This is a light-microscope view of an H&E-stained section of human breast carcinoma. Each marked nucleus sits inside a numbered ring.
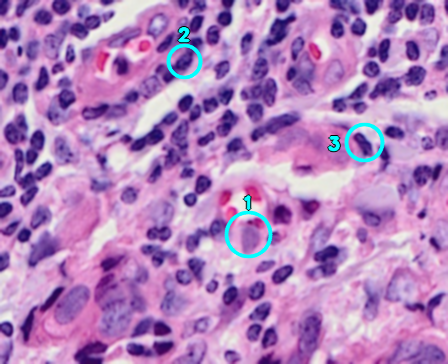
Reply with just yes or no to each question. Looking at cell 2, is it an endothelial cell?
no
